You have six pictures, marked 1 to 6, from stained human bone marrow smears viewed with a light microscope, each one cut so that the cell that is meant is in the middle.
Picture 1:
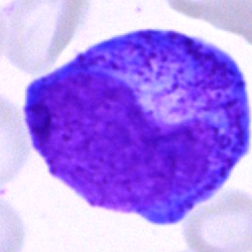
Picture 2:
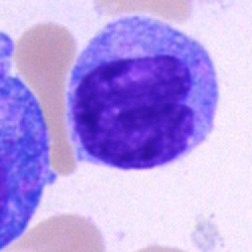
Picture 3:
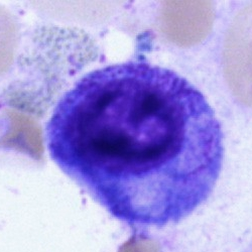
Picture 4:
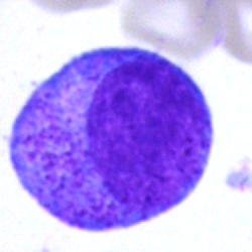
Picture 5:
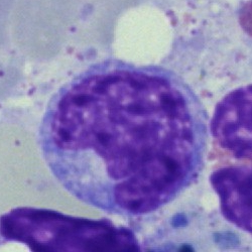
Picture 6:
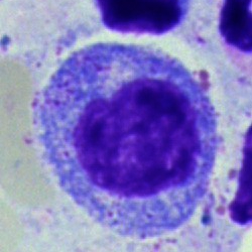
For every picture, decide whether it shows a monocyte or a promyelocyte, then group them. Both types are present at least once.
1: promyelocyte
2: monocyte
3: promyelocyte
4: promyelocyte
5: monocyte
6: promyelocyte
